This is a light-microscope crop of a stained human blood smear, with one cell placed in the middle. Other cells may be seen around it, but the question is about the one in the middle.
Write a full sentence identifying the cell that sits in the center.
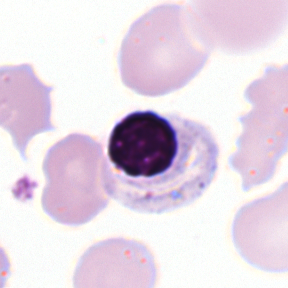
On this slide crop, the central cell is a normoblast.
